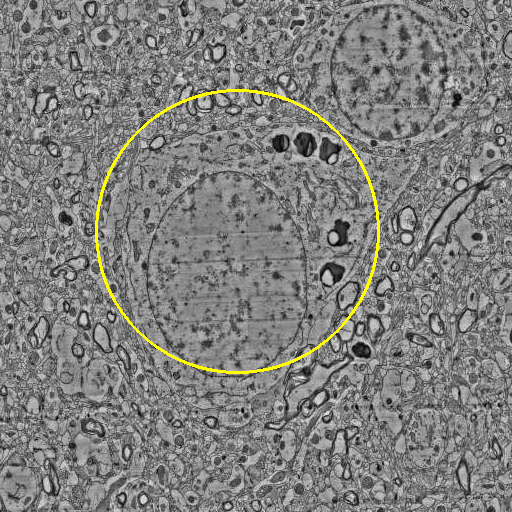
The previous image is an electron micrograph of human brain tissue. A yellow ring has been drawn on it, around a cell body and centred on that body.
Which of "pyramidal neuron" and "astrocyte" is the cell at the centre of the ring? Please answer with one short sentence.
The cell body at the centre of the ring belongs to a pyramidal neuron.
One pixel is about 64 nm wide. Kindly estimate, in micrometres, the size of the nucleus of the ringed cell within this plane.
In this plane, the nucleus of the cell at the centre of the ring measures about 13 by 10 micrometres.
